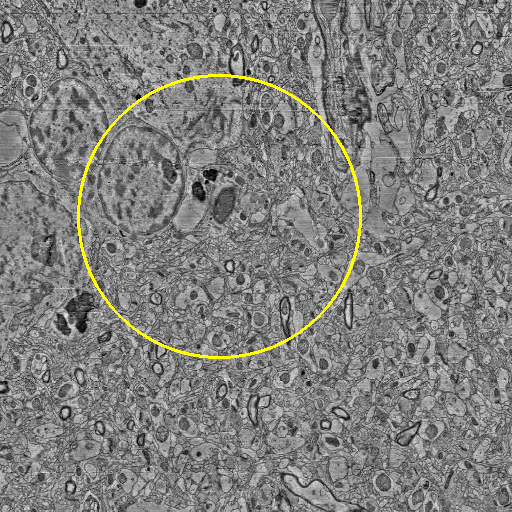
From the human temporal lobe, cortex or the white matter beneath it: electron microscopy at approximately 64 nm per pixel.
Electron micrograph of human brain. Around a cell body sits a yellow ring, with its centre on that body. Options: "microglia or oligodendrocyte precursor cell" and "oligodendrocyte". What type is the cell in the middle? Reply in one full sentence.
The cell sitting at the centre of the yellow ring is a microglial cell or oligodendrocyte precursor cell.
